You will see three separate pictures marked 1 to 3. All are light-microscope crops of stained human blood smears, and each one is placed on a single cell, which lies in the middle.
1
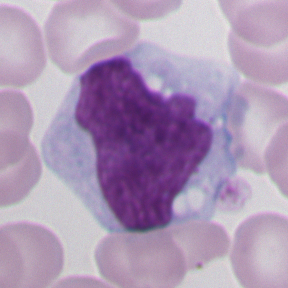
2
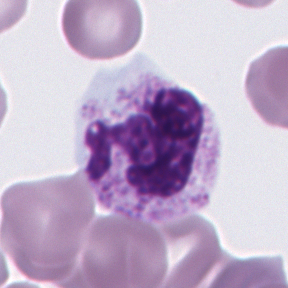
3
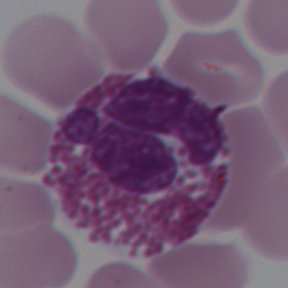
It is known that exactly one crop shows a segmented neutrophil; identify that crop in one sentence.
In this set, crop 2 is the one showing a segmented neutrophil.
